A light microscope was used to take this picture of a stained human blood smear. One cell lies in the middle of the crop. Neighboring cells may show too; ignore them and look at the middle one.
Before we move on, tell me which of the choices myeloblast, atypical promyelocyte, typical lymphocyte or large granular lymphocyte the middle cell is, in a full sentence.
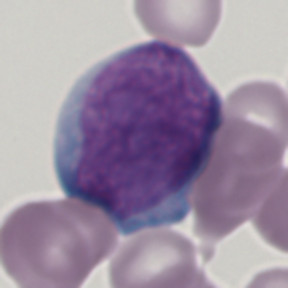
Where the crop is centred, there is a myeloblast.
